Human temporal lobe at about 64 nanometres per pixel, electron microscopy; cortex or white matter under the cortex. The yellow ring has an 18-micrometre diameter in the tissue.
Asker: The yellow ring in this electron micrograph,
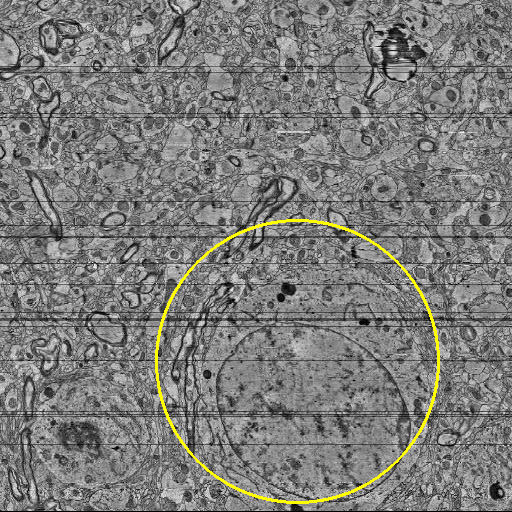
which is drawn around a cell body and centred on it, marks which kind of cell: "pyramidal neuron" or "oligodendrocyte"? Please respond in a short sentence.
The marked cell is a pyramidal neuron.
